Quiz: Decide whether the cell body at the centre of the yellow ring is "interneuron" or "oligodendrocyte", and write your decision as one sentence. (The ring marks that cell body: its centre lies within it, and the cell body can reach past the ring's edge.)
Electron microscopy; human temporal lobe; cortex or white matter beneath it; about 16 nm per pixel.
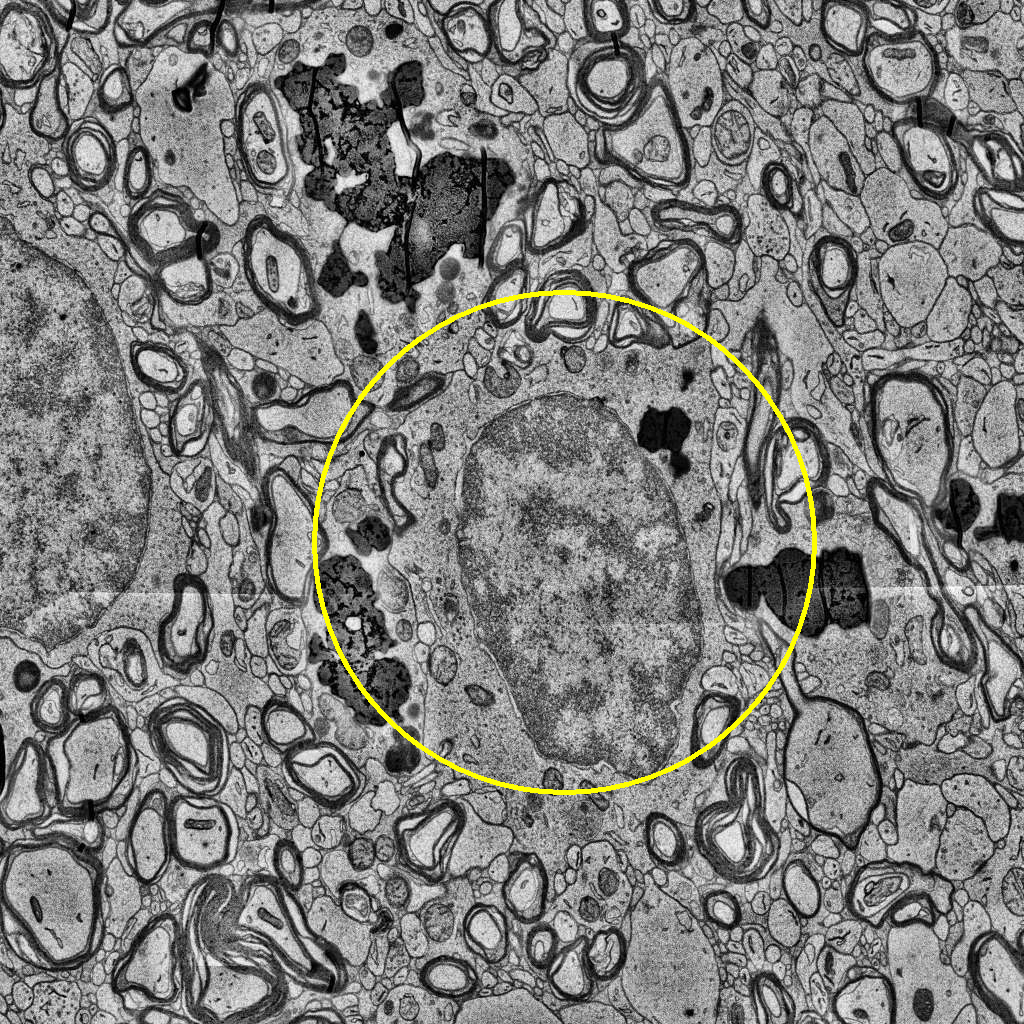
The cell holding the ring's centre is an oligodendrocyte.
